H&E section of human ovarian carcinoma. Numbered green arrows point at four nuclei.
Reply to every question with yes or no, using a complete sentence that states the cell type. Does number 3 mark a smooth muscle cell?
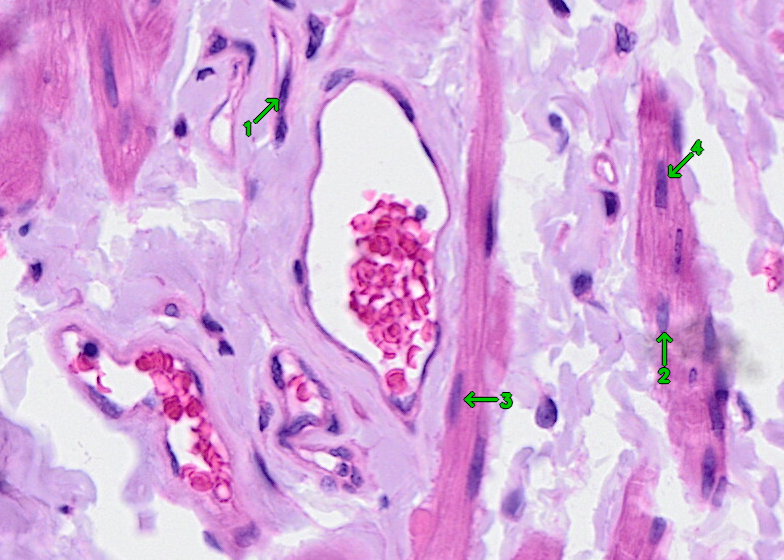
Yes, the one with the number 3 is a smooth muscle cell.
